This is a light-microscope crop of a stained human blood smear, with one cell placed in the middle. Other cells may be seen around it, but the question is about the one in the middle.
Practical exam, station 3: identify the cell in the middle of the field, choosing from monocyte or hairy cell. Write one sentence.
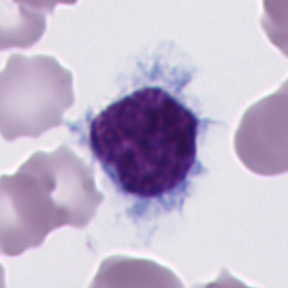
The cell under consideration, at the middle of the crop, is a hairy cell.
